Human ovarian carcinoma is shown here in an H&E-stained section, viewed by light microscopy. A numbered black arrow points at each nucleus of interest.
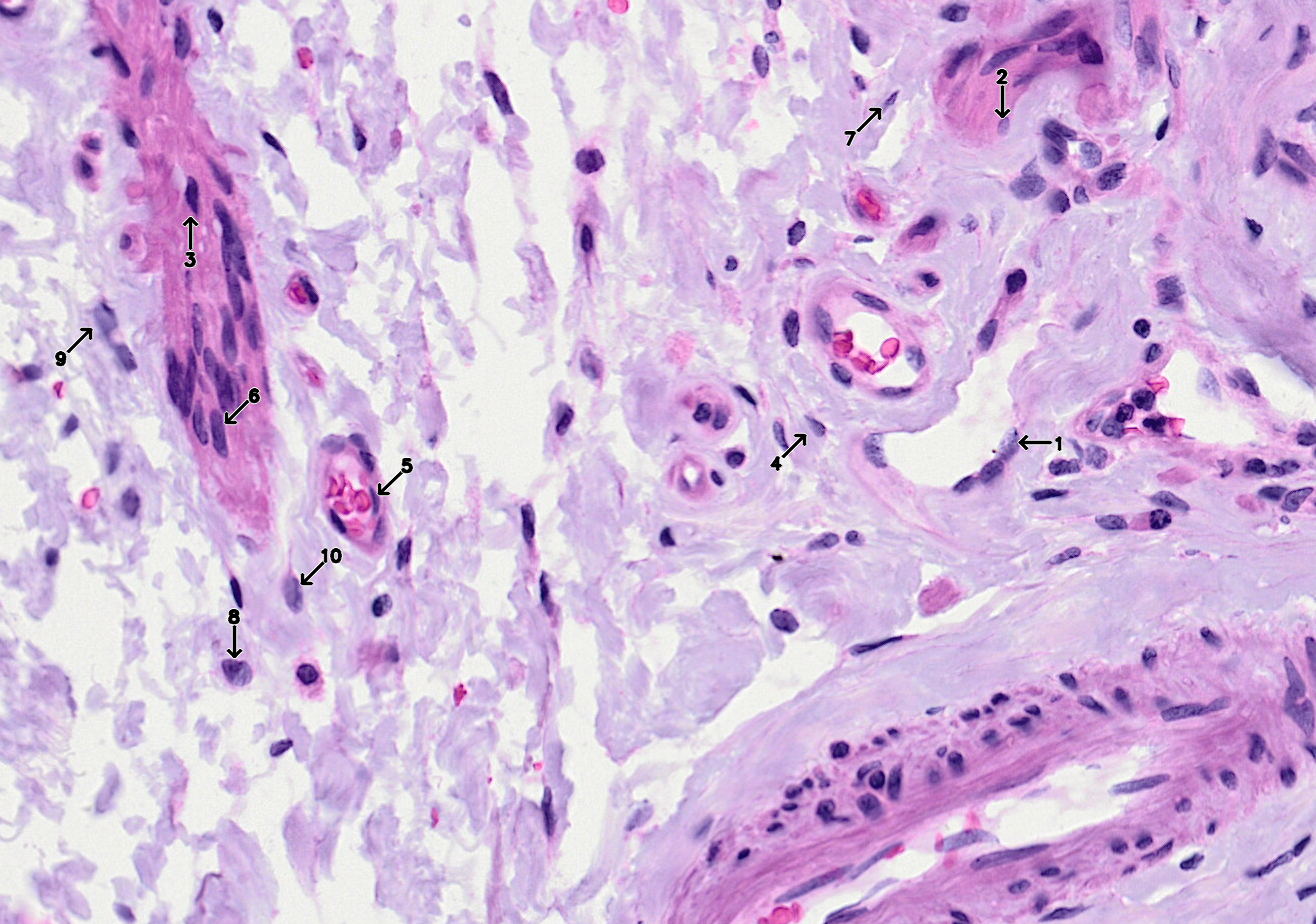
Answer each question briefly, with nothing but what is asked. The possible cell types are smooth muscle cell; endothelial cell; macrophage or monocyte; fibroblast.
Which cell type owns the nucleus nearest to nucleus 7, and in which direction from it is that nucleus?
a macrophage or monocyte, above and to the left of nucleus 7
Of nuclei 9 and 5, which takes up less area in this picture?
5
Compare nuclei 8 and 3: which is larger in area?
8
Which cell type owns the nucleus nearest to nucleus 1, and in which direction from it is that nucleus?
an endothelial cell, below and to the left of nucleus 1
